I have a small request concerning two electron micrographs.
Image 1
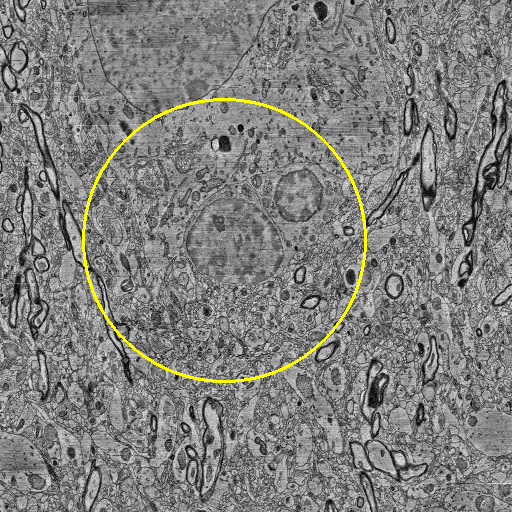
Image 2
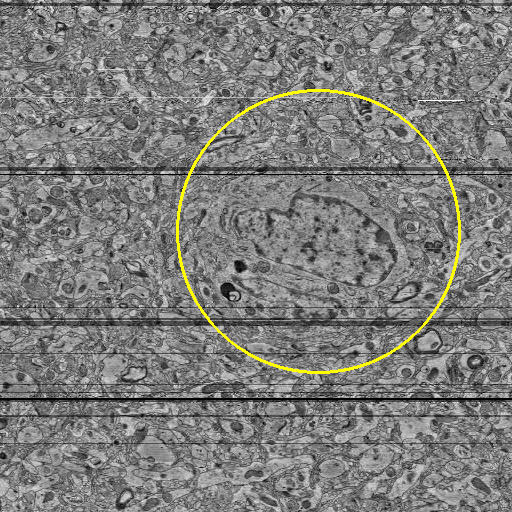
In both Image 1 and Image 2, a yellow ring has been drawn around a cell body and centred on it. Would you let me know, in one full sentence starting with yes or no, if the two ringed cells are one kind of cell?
No, the cells ringed in Image 1 and Image 2 are two kinds of cell.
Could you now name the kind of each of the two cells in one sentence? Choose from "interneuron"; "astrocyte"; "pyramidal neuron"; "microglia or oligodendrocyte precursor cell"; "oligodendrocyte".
The first ring encloses an oligodendrocyte; the second ring encloses an astrocyte.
